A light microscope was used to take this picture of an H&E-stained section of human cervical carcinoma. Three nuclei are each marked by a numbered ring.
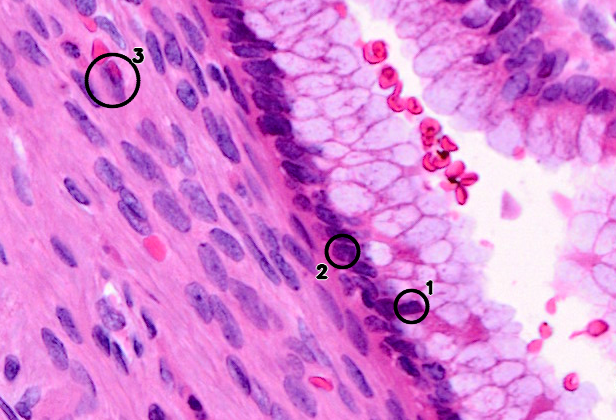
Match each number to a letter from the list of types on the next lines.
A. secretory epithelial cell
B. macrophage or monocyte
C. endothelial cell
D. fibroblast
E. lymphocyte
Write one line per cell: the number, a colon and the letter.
1: A
2: A
3: C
